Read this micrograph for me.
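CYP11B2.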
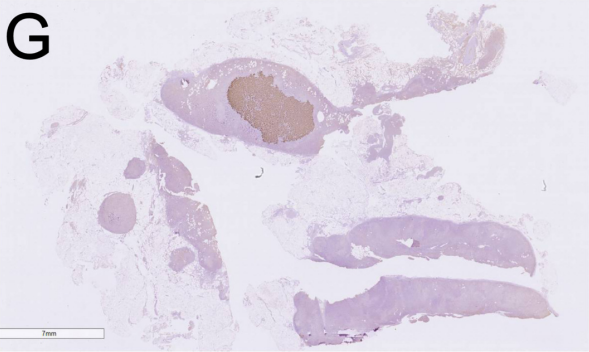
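This is a low-power section through adrenal gland, with a small adrenocortical nodule picked out by brown staining. The nodule is a compact, sharply bordered oval that sits within a thicker stretch of purple gland tissue. Loose, pale tissue lies around the fragments. At this magnification only the architecture can be judged, and single cells cannot be made out.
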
